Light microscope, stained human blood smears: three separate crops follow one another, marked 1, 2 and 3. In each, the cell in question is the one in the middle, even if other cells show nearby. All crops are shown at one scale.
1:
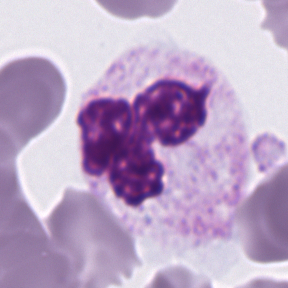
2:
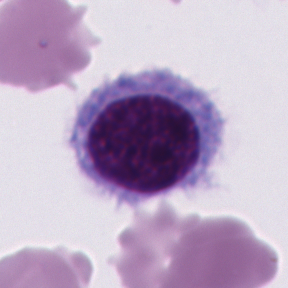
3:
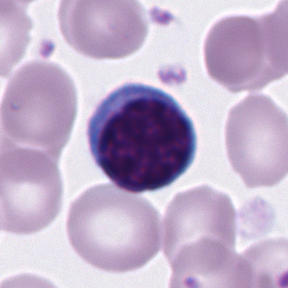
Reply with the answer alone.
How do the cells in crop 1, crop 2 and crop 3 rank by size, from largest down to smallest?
1, 2, 3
